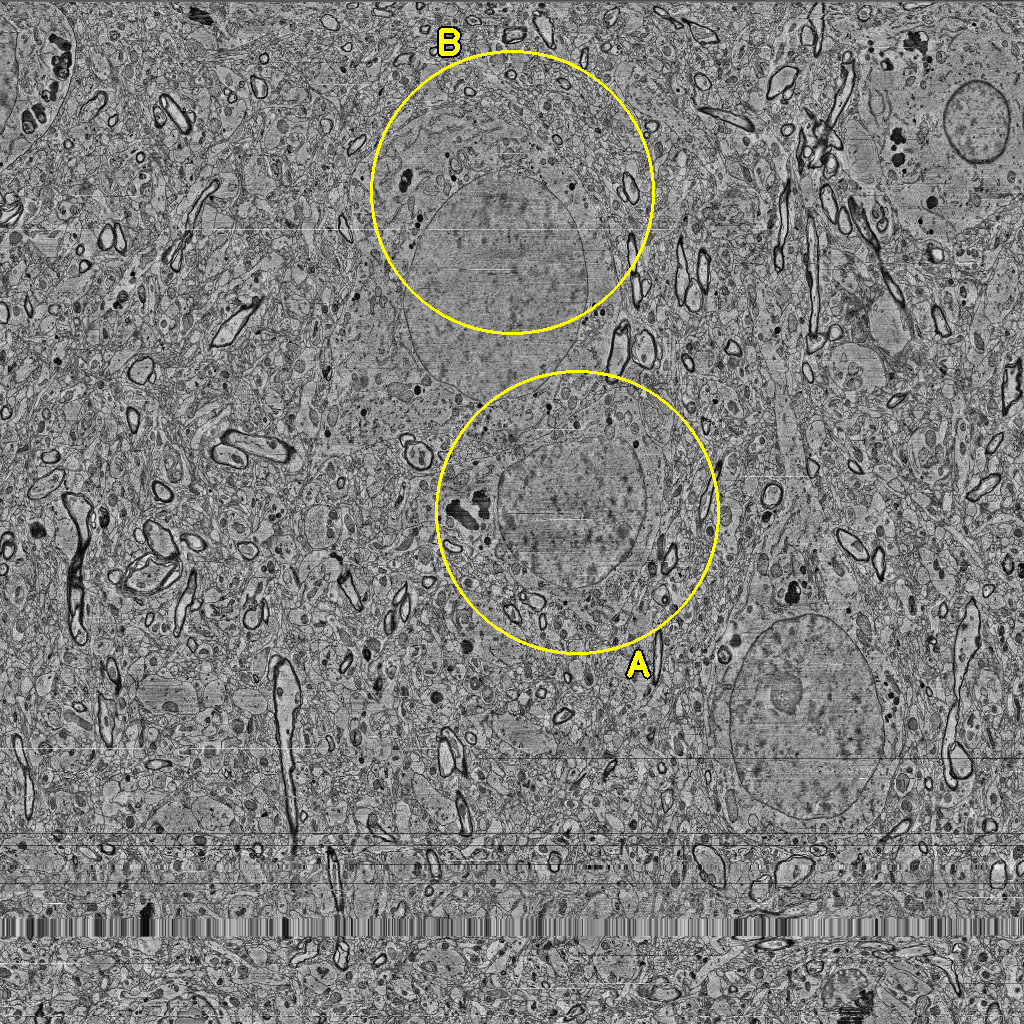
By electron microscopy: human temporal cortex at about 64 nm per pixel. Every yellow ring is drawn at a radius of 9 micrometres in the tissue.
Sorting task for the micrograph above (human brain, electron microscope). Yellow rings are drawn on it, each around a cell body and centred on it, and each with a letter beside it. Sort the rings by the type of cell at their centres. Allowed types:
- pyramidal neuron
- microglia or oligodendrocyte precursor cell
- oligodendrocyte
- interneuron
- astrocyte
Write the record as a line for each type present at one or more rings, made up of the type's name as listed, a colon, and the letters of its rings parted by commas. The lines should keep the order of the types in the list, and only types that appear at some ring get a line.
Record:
pyramidal neuron: B
interneuron: A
